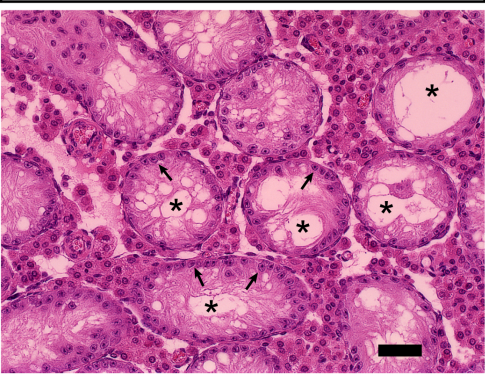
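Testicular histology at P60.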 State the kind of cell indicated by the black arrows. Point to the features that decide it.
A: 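Sertoli cells. The arrowed nuclei sit in a single row against the tubule wall. The cells have pale cytoplasm extending toward the lumen. No layered germ cells lie above them.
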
